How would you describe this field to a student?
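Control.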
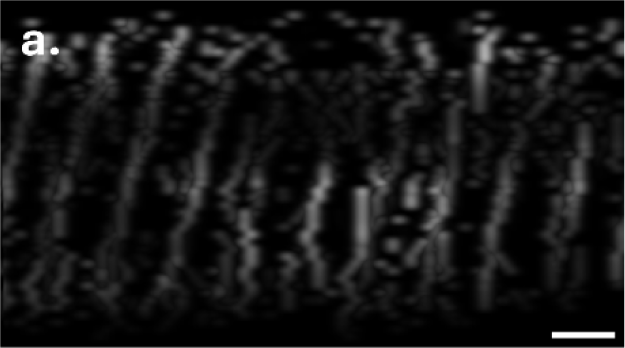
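The lines are roughly parallel and fairly evenly spaced, forming a regular striated pattern. They are built of bright dots and short segments, and a few fainter branches lie between them.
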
